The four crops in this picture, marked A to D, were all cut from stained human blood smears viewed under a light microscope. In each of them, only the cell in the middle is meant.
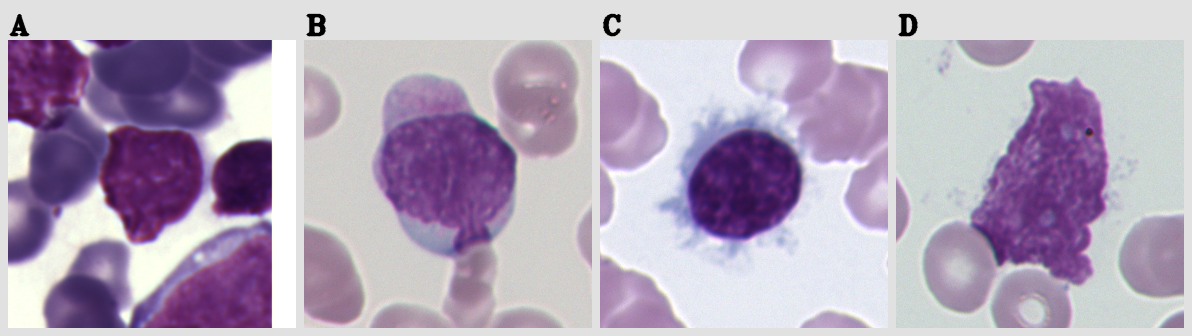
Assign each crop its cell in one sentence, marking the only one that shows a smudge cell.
In crop D there is a smudge cell, while crop A is a myeloblast, crop B is an atypical promyelocyte and crop C is a hairy cell.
